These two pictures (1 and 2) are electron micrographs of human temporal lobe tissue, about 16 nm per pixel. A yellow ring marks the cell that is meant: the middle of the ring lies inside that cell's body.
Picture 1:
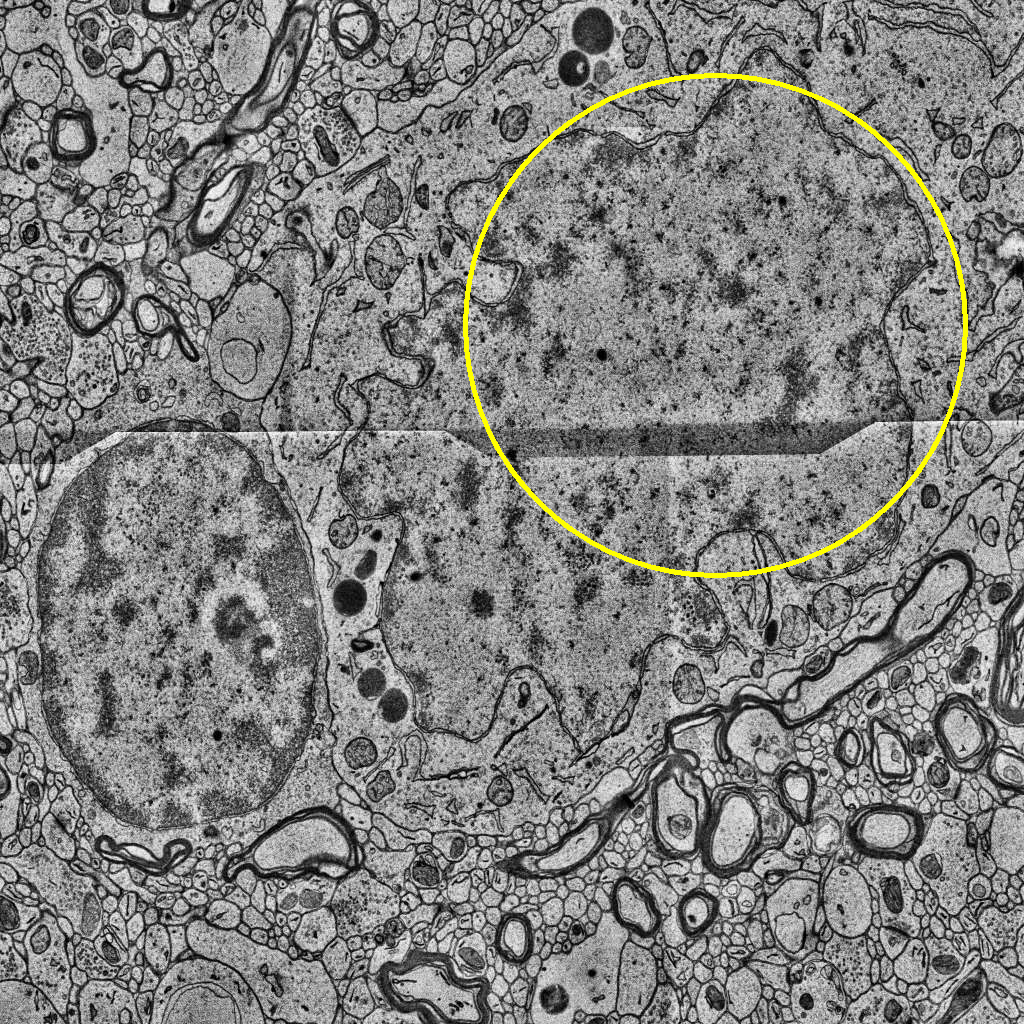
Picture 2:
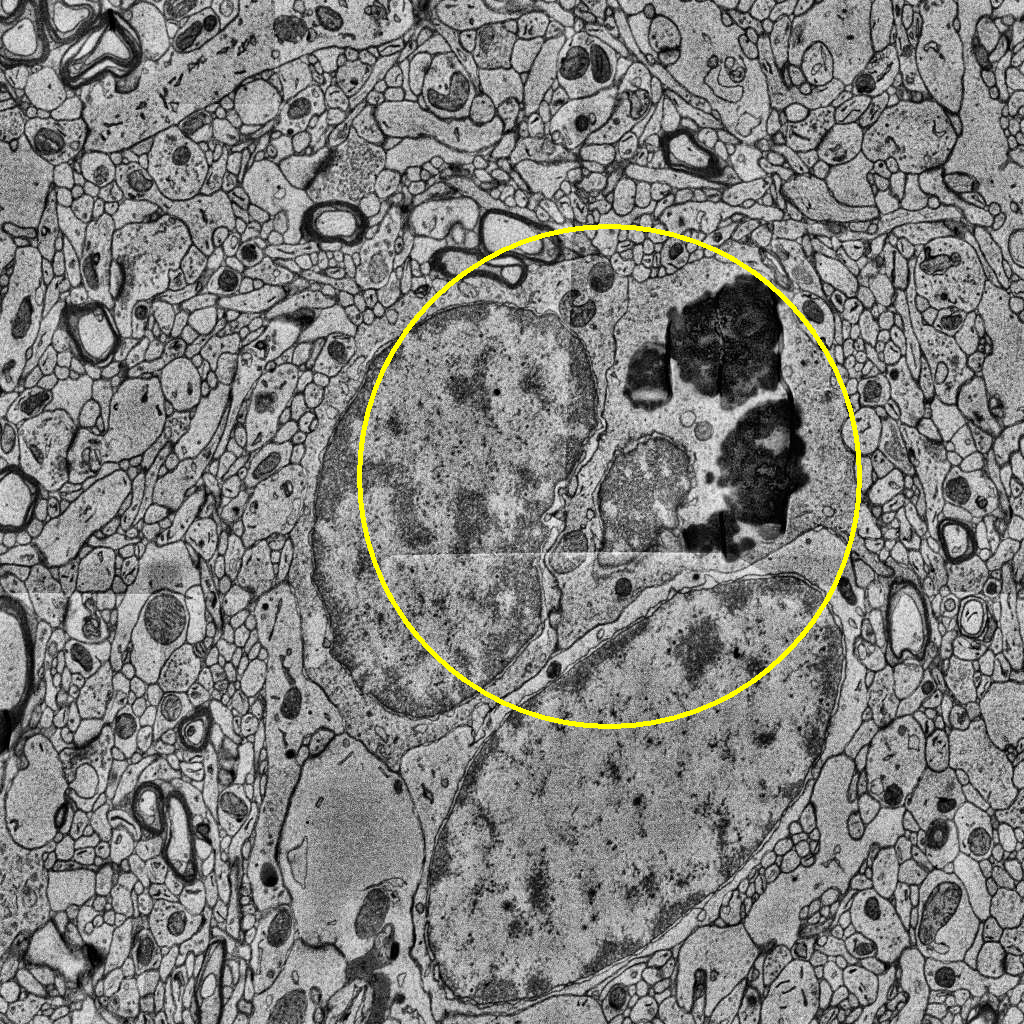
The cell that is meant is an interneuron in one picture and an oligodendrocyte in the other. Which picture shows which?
It is picture 1 that shows an interneuron, and picture 2 that shows an oligodendrocyte.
